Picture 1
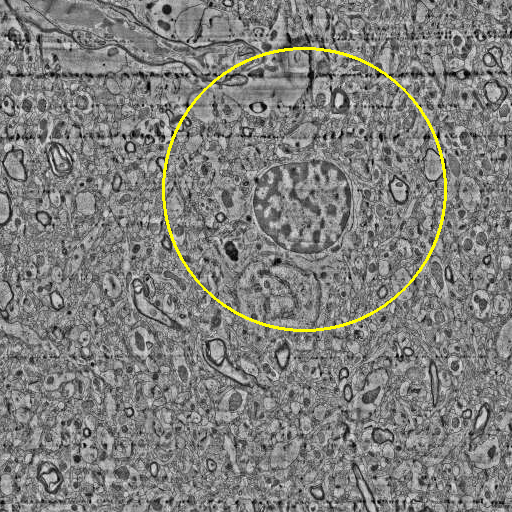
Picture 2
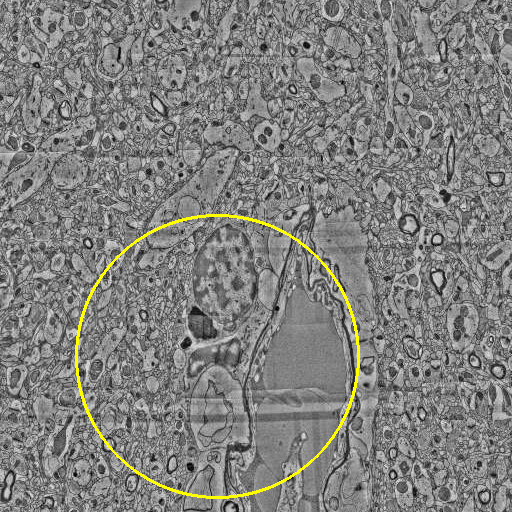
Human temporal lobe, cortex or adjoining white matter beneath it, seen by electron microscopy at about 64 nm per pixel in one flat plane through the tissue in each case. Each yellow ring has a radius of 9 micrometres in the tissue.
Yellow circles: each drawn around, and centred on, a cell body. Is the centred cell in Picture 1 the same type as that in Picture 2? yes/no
yes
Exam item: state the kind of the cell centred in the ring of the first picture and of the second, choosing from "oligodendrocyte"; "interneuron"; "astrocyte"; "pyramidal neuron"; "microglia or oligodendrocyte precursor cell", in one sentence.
Both pictures show a microglial cell or oligodendrocyte precursor cell at the centre of the ring.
